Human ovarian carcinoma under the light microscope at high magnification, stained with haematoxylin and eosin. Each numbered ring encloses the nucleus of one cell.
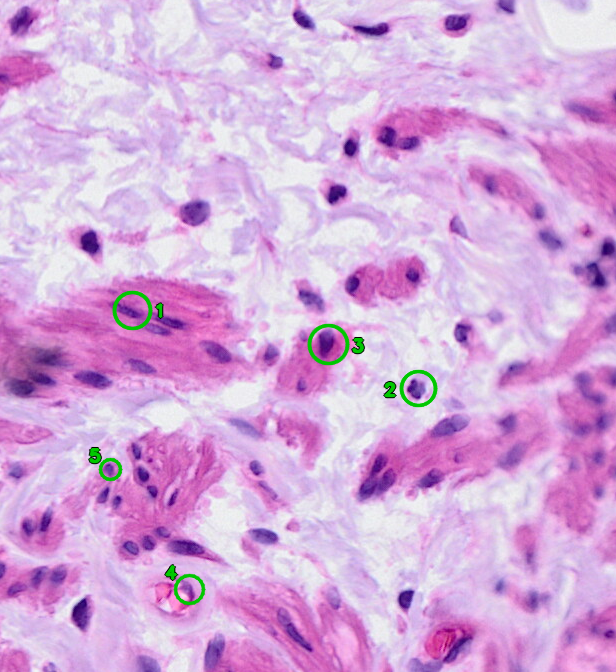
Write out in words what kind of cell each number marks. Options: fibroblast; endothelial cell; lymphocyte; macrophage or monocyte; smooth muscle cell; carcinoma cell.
Cell 1 is a smooth muscle cell, cell 2 is a lymphocyte, cell 3 is a smooth muscle cell, cell 4 is an endothelial cell and cell 5 is a smooth muscle cell.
